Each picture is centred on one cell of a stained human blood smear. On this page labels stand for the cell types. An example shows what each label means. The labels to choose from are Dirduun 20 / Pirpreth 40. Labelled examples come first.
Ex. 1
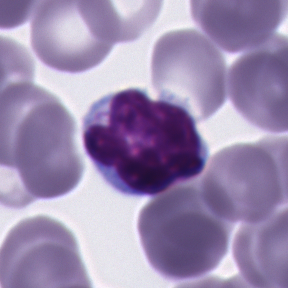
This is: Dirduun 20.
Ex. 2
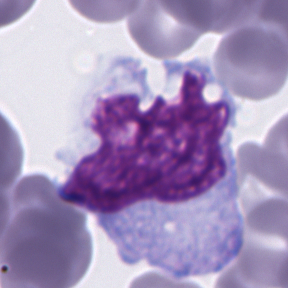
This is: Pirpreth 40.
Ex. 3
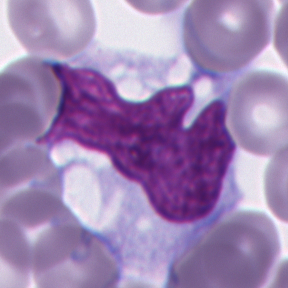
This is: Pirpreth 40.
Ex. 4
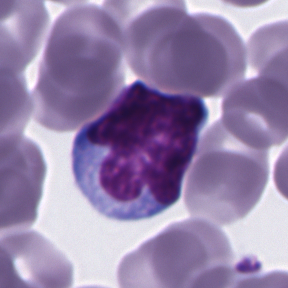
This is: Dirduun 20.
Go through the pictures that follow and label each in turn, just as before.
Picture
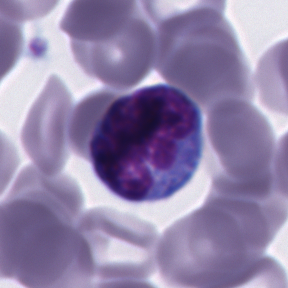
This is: Dirduun 20.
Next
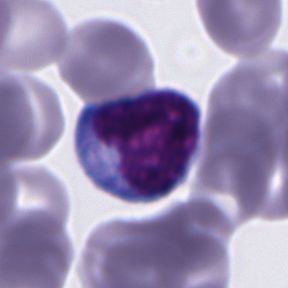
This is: Dirduun 20.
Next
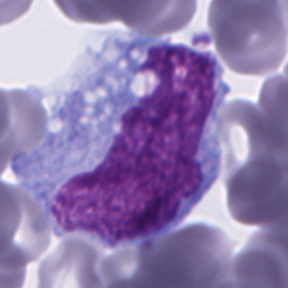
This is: Pirpreth 40.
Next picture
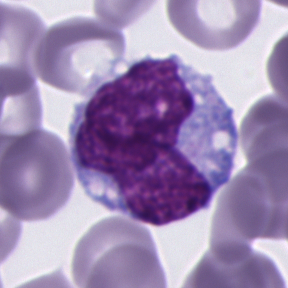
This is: Pirpreth 40.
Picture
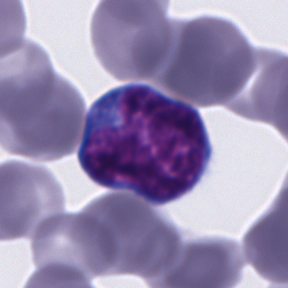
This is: Dirduun 20.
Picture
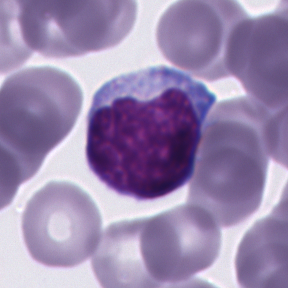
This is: Dirduun 20.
